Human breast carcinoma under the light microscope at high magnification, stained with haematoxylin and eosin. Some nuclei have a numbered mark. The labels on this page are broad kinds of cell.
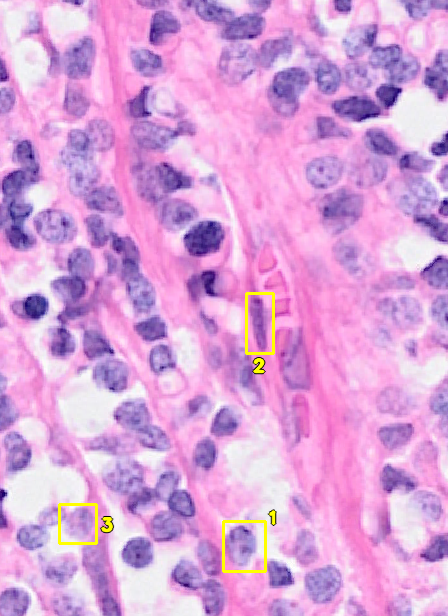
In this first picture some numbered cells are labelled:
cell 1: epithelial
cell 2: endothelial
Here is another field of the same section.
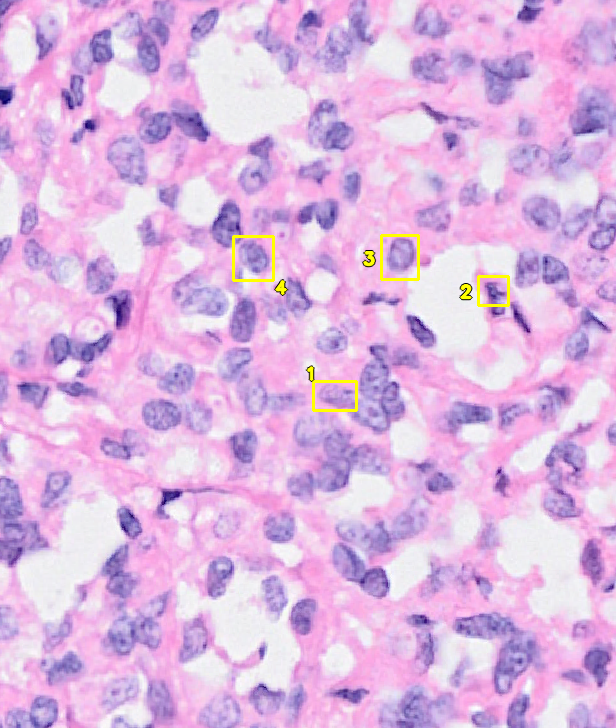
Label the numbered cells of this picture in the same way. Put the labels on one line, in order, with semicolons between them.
epithelial; endothelial; epithelial; epithelial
